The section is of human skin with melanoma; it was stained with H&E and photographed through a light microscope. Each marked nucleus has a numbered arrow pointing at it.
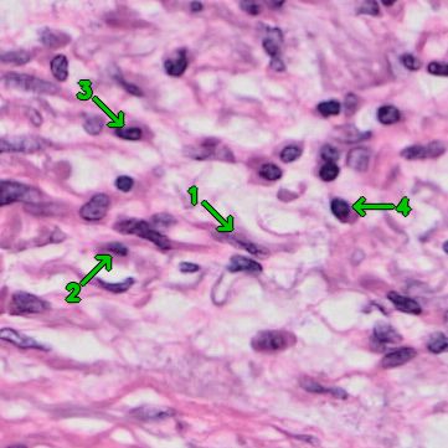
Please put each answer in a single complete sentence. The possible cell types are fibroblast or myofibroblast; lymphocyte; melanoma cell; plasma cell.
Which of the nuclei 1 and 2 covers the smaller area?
With nucleus 1 about 1.5 times its size, nucleus 2 is the smaller of the two.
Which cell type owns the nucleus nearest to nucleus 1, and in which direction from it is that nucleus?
The nearest one is a lymphocyte, found below nucleus 1.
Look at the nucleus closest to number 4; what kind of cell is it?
The nucleus nearest to number 4 is that of a plasma cell.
